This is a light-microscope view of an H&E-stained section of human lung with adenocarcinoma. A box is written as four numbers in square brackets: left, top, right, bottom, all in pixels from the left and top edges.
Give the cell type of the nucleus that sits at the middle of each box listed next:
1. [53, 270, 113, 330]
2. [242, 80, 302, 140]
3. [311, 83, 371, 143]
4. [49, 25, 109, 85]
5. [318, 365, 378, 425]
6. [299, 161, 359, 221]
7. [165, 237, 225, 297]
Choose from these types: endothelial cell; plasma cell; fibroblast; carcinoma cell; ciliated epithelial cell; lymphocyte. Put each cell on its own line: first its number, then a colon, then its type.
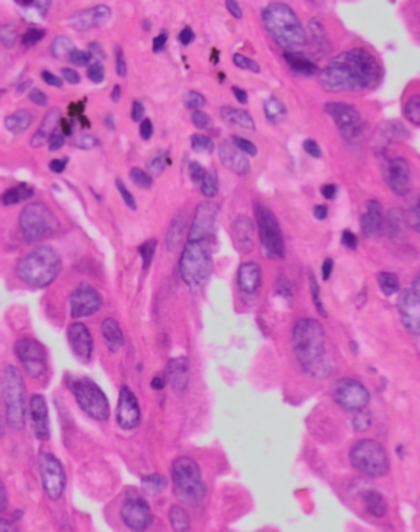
1: carcinoma cell
2: fibroblast
3: carcinoma cell
4: lymphocyte
5: carcinoma cell
6: lymphocyte
7: carcinoma cell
